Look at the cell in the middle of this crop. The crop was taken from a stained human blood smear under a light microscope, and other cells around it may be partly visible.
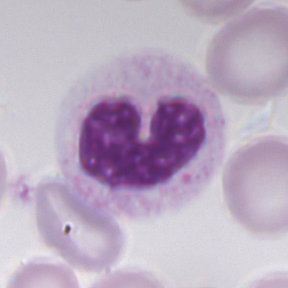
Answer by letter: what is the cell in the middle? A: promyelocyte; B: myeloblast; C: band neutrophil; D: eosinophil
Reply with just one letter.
C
